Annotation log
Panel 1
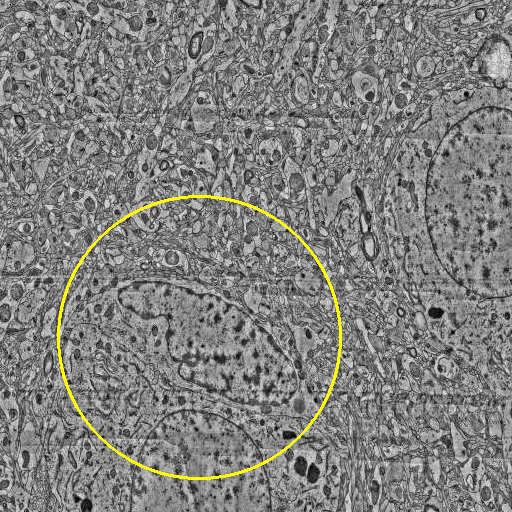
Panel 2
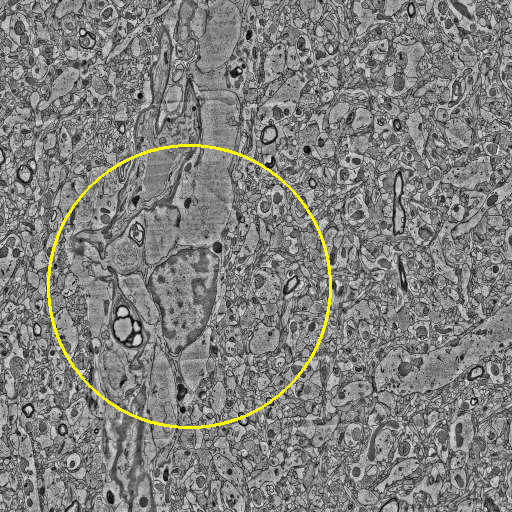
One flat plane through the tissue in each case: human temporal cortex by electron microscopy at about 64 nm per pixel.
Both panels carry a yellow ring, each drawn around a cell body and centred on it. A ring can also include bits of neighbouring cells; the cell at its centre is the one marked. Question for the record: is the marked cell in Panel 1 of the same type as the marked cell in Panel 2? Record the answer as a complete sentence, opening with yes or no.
Yes, the marked cells in Panel 1 and Panel 2 are of the same type.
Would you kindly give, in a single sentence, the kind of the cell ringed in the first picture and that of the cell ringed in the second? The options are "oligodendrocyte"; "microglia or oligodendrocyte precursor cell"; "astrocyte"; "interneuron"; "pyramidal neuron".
Each one of the two ringed cells is a microglial cell or oligodendrocyte precursor cell.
